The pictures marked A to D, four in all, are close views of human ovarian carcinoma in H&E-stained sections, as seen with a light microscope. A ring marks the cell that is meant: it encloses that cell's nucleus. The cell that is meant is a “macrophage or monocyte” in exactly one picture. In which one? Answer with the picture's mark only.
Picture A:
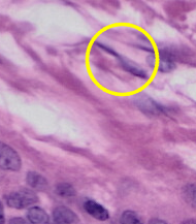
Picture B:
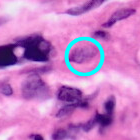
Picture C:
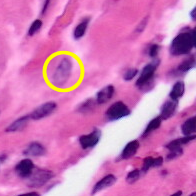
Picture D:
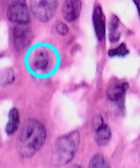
D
